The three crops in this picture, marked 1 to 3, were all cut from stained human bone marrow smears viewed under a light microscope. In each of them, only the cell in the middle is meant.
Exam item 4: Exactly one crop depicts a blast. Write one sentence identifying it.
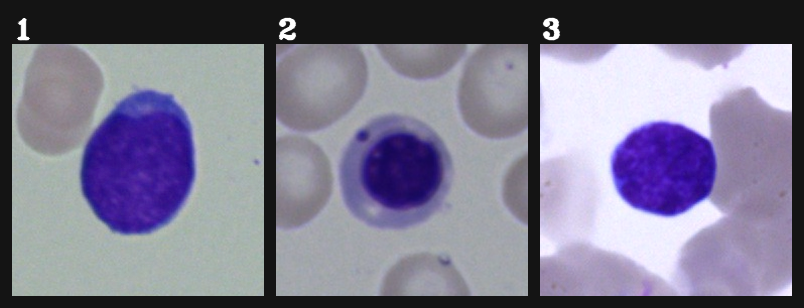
Among the crops provided, a blast occupies the center of crop 1.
